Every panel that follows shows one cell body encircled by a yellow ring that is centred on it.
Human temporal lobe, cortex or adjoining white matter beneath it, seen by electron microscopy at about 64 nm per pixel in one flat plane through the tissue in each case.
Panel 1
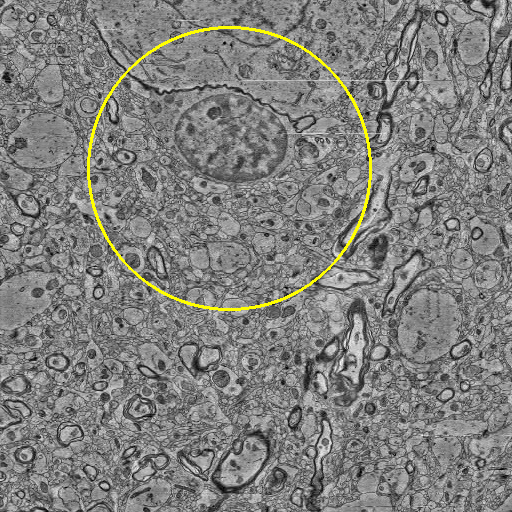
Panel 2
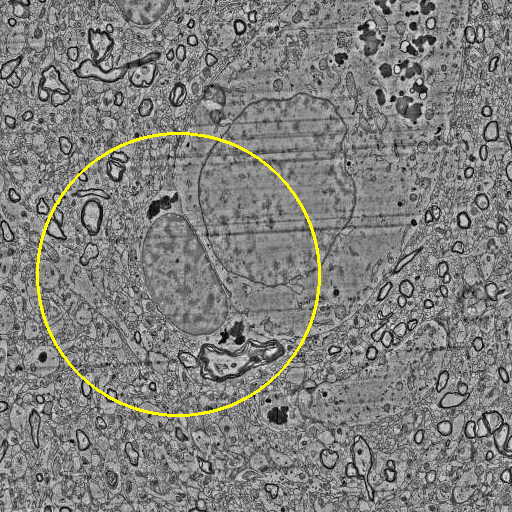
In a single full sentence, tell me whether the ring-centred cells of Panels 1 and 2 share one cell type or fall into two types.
In Panel 1 and Panel 2, the cells at the ring centres share one cell type.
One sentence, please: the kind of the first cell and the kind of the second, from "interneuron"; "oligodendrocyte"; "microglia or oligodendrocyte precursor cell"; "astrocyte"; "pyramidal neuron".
The first and the second cell are each an oligodendrocyte.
